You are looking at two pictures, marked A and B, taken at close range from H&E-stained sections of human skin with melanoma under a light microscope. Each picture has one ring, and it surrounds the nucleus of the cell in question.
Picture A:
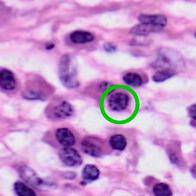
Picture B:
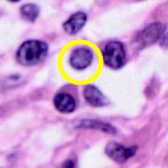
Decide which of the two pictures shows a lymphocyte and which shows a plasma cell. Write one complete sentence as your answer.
Picture B shows a lymphocyte, while picture A shows a plasma cell.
